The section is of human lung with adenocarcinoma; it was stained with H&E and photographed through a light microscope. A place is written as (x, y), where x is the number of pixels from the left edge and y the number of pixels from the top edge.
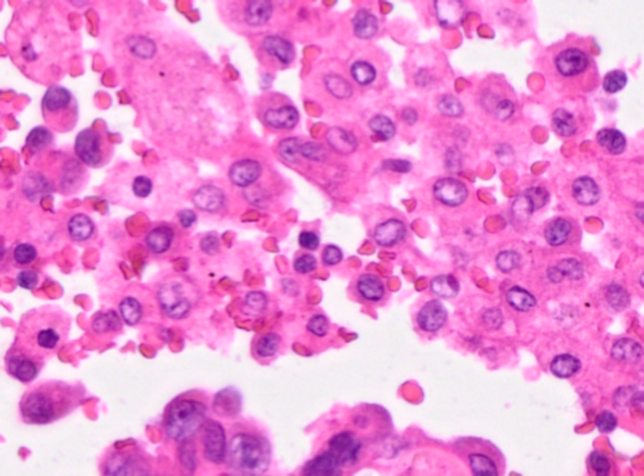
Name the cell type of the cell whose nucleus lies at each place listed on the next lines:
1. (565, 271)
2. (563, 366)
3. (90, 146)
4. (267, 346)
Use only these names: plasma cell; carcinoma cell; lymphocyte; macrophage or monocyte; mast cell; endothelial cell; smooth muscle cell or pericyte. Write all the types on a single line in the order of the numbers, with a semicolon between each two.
macrophage or monocyte; macrophage or monocyte; carcinoma cell; macrophage or monocyte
